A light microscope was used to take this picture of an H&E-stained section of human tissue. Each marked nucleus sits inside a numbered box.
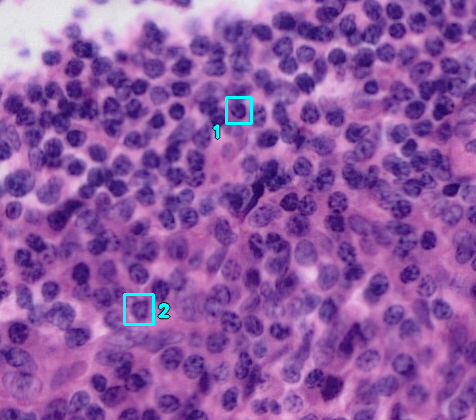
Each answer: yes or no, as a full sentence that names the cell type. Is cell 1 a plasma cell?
No, the cell carrying number 1 is a small lymphocyte rather than a plasma cell.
